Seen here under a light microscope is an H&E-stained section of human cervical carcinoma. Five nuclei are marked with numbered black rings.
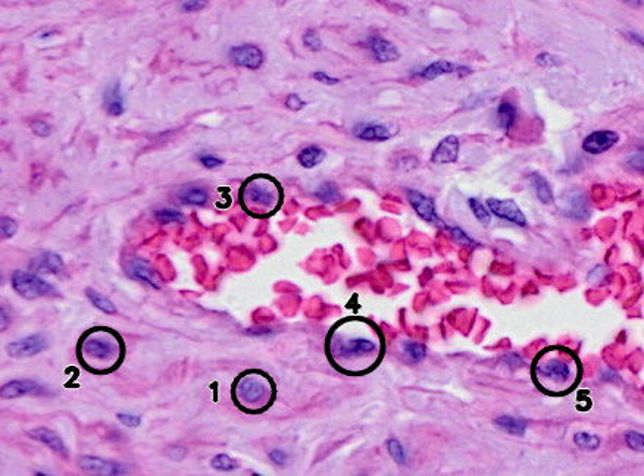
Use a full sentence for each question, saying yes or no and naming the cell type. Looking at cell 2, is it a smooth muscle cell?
Yes, in the section, number 2 is a smooth muscle cell.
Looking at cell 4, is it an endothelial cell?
Yes, that one, number 4, is an endothelial cell.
